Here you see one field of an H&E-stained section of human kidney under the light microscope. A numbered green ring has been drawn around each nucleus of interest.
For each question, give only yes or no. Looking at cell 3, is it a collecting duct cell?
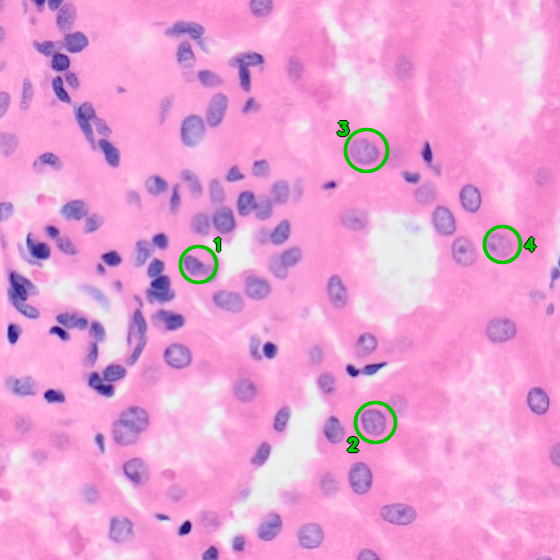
no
